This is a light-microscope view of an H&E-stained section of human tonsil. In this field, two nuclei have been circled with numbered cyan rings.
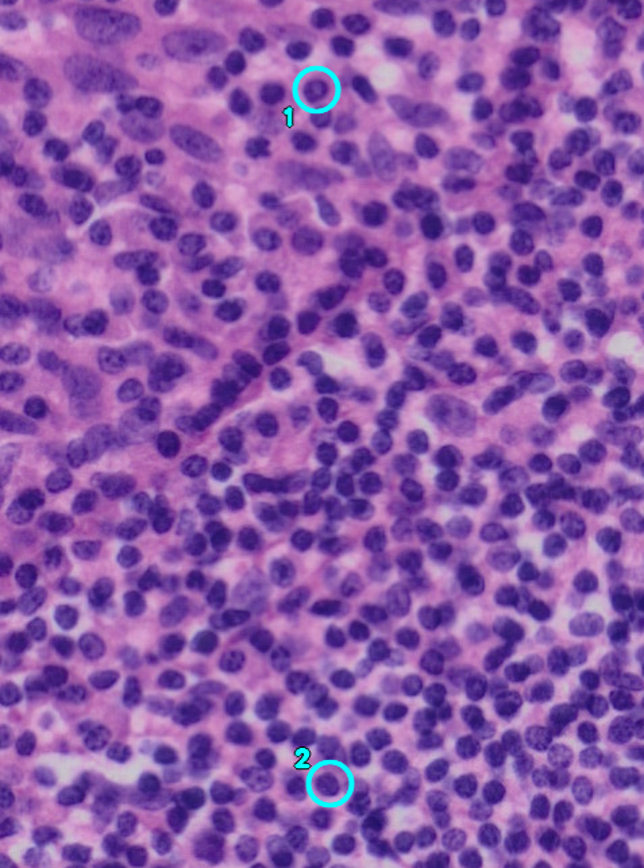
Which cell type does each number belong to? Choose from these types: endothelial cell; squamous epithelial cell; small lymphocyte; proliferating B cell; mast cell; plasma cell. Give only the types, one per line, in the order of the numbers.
plasma cell
small lymphocyte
